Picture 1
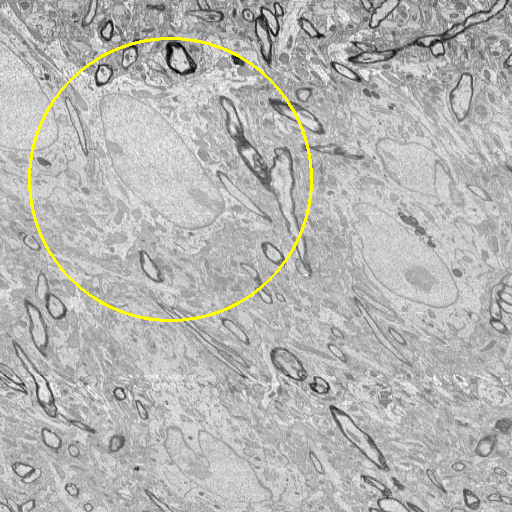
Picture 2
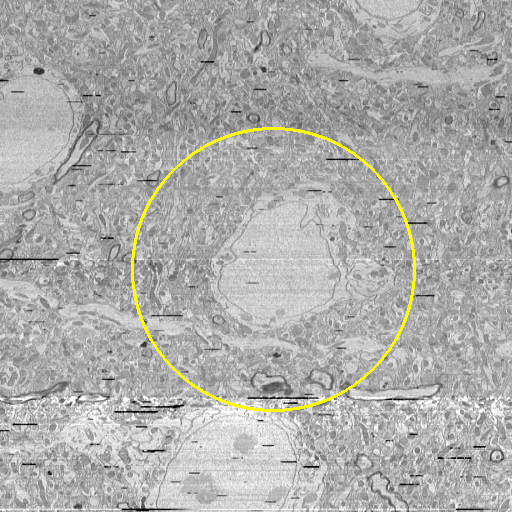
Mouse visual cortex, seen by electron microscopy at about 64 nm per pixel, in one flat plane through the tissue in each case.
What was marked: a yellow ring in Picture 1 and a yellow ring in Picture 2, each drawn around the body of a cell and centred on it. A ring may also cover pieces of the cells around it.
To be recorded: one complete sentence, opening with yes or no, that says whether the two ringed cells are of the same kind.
No, the two ringed cells are of two kinds.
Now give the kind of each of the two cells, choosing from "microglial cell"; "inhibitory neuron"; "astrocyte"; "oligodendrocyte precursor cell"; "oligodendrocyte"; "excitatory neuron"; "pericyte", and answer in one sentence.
The cell in the first picture is an astrocyte, and the cell in the second is an excitatory neuron.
